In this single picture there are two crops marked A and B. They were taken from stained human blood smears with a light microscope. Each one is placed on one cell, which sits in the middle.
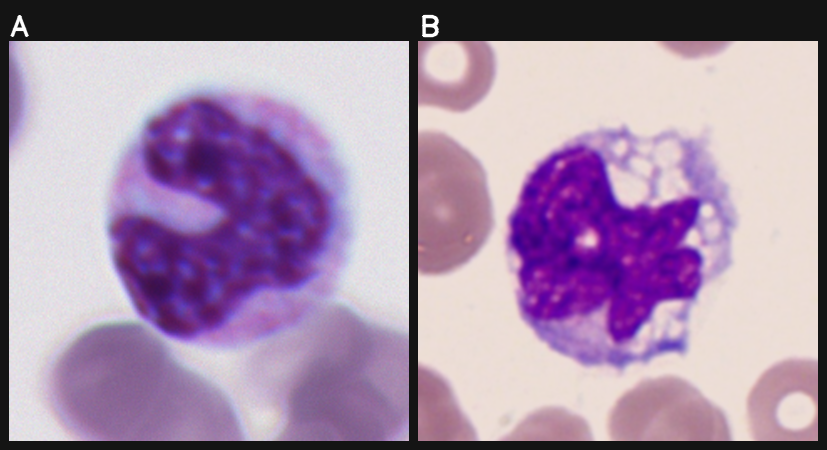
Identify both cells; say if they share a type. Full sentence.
No, a band neutrophil is in crop A, and a monocyte is in crop B.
